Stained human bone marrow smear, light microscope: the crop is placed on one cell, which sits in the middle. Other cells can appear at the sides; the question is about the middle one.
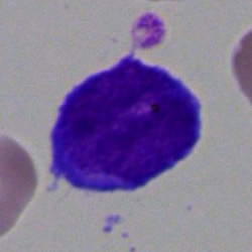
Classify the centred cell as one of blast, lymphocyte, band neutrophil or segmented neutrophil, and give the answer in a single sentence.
Within this crop, a blast occupies the central position.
